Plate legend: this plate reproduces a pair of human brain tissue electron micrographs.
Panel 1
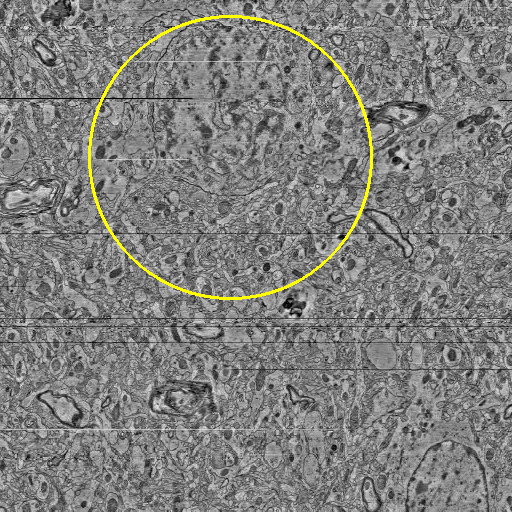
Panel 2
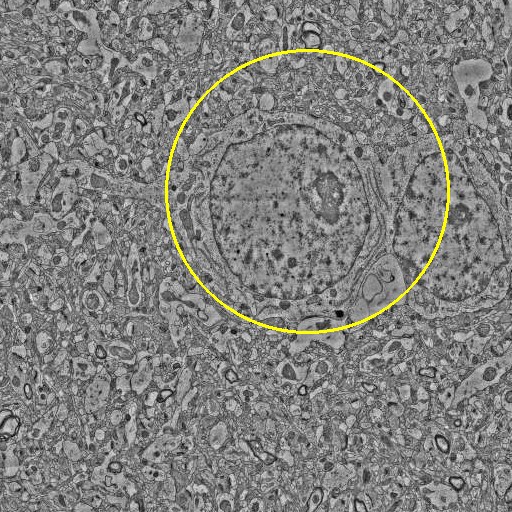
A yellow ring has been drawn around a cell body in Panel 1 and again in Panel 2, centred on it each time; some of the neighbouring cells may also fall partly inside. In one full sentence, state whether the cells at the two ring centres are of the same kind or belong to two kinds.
The ring-centred cells of Panel 1 and Panel 2 are of the same kind.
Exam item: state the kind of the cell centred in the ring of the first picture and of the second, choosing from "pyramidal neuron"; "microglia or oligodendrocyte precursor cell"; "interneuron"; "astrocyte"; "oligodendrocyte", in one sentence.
Both cells are the same kind, each one being an interneuron.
